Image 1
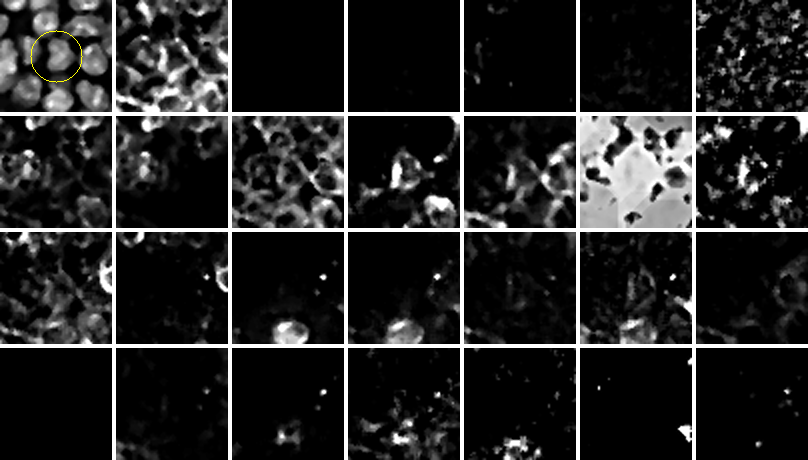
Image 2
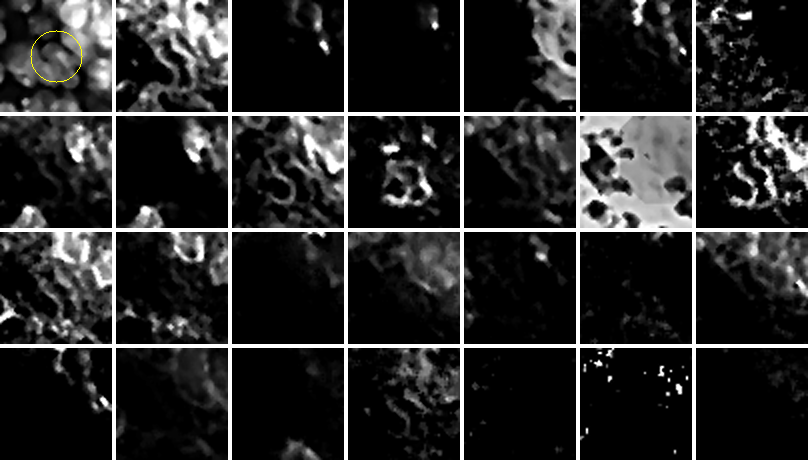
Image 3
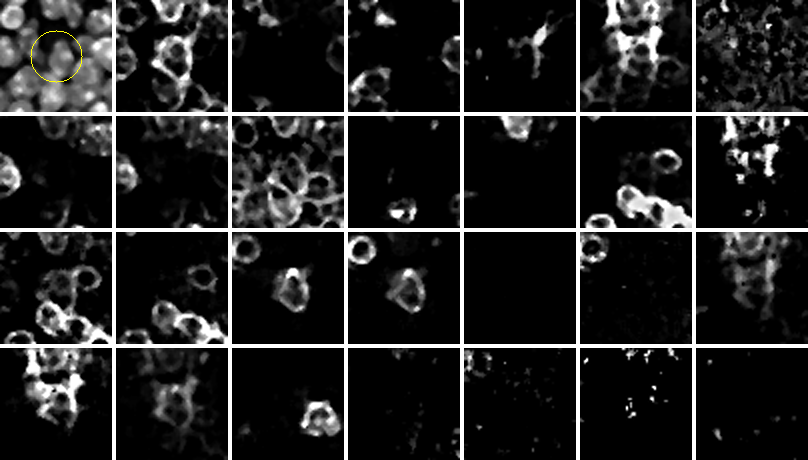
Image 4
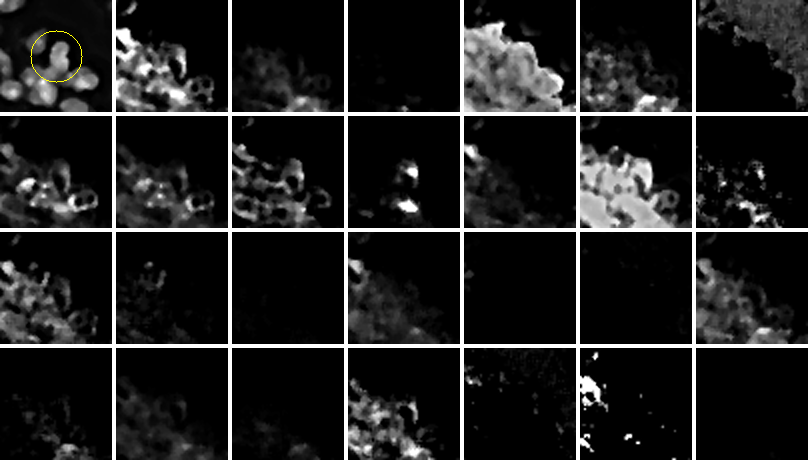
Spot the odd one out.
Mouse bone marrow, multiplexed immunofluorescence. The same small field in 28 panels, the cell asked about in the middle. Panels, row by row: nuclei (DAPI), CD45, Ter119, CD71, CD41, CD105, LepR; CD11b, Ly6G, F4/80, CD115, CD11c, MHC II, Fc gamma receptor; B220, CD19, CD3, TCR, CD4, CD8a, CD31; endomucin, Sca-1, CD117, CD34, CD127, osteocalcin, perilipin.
Picture 3 (a capillary endothelial cell among monocytes).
